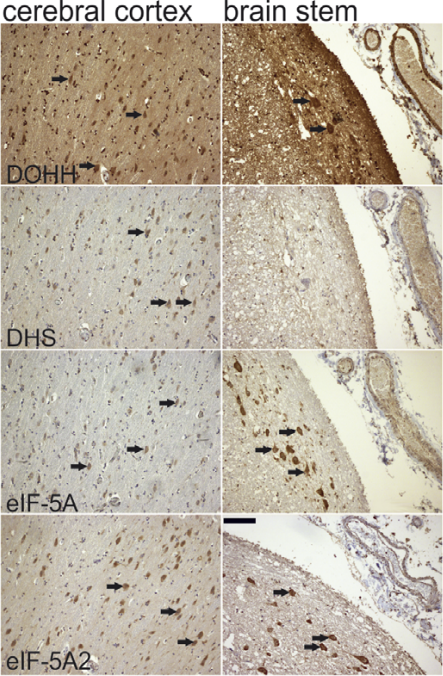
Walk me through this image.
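These are sections of brain in which scattered large neurons stand out by their darker brown cell bodies against a paler, finely textured background of surrounding tissue. In the cortex the labelled cell bodies are spread across the field, while in the brain stem the section reaches the surface of the tissue, where a thin covering with cut blood vessels lies beside it.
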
